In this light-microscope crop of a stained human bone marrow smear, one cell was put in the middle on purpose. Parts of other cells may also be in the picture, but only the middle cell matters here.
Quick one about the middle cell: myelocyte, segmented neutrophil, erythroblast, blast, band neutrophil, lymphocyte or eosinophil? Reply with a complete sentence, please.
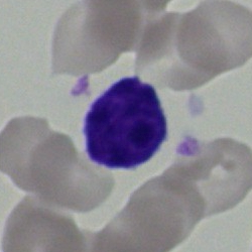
Here the centrally located cell is a lymphocyte.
